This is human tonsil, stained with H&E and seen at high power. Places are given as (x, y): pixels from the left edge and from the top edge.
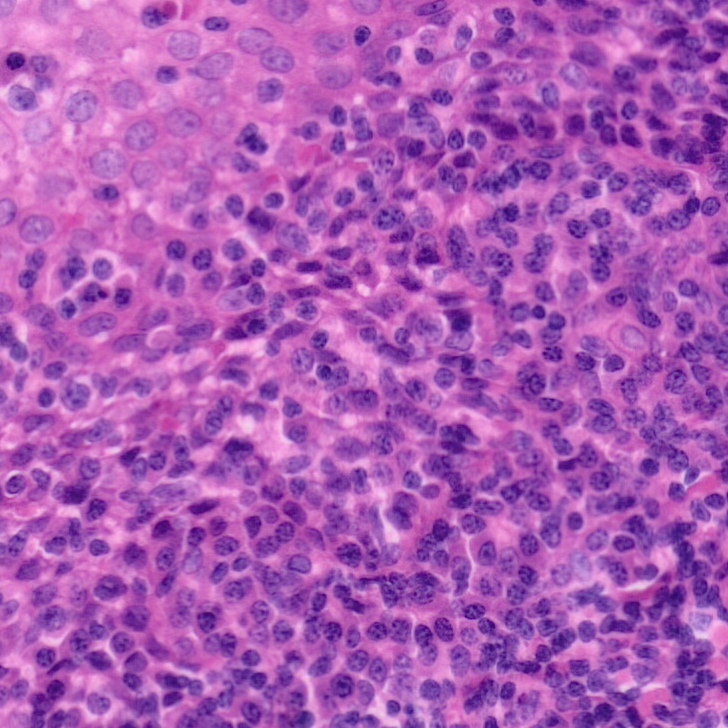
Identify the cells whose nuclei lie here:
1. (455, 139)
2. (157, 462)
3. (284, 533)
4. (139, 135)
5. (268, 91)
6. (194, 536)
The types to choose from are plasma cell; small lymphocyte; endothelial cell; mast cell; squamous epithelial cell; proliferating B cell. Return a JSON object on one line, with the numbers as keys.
{"1": "plasma cell", "2": "plasma cell", "3": "plasma cell", "4": "squamous epithelial cell", "5": "squamous epithelial cell", "6": "plasma cell"}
